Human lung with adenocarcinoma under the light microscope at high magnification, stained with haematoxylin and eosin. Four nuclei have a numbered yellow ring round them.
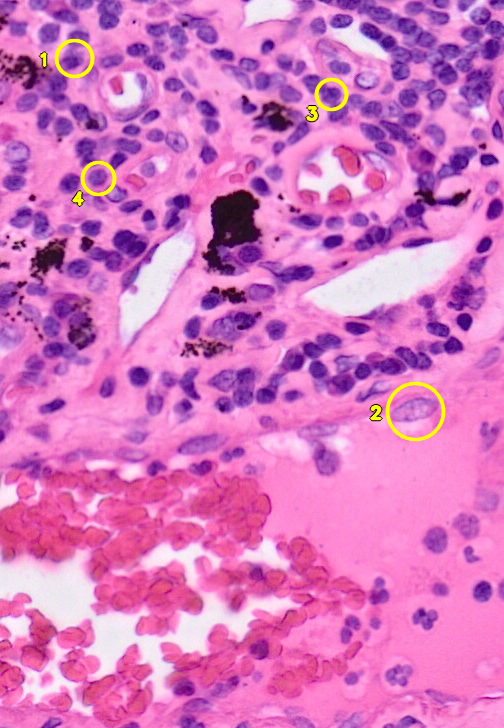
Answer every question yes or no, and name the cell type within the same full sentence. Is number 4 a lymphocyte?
Yes, looking at number 4, that cell is a lymphocyte.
